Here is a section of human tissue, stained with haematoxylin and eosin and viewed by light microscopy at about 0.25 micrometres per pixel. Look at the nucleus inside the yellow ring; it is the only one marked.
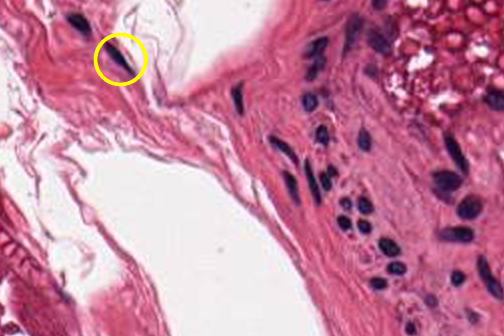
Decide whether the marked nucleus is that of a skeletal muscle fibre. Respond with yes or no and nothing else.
no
